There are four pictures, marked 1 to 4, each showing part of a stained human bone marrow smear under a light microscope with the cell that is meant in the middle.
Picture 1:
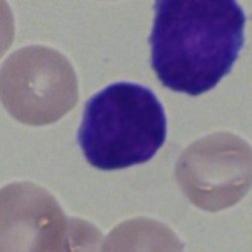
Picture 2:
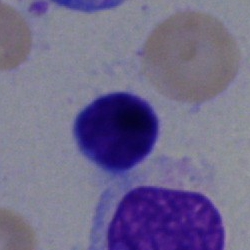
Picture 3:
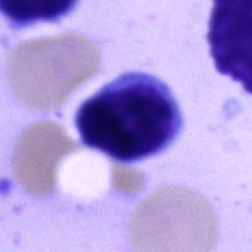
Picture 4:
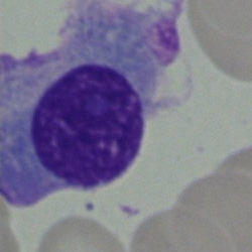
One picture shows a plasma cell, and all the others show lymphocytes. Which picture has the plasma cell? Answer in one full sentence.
The plasma cell is the one in picture 4.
